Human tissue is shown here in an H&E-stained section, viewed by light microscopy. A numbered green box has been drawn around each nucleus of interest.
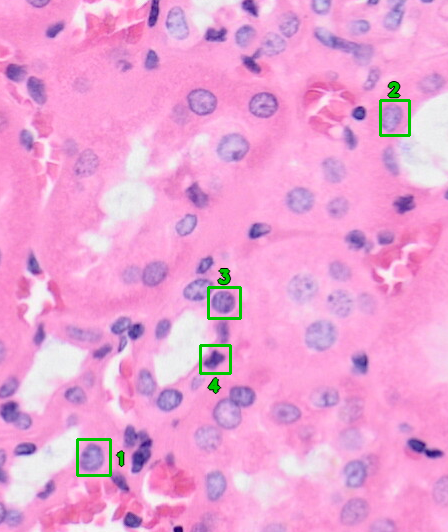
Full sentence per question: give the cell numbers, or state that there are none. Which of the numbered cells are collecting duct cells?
The cells that have numbers 1, 3 and 4 are collecting duct cells.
